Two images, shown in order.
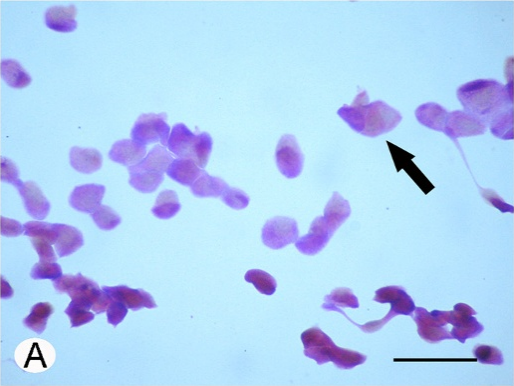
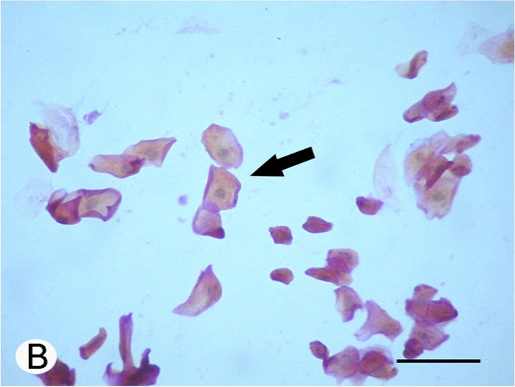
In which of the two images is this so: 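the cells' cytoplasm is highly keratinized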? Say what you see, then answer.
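The second image. First image: the cells stain purple-violet throughout. Second image: most cells stain orange-brown, with angular, flattened outlines.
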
